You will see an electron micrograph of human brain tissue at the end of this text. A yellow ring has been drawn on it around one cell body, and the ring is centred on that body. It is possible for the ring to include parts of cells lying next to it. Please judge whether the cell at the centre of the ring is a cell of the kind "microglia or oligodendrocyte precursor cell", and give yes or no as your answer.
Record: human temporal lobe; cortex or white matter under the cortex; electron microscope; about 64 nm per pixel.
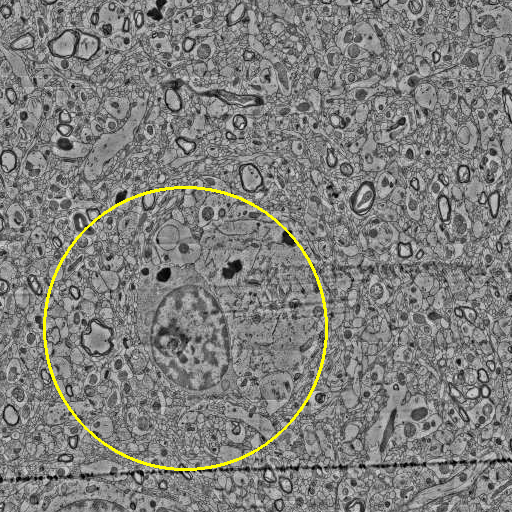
no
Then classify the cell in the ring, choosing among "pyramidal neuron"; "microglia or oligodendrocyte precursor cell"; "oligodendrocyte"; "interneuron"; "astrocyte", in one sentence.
The cell in the ring is an oligodendrocyte instead.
